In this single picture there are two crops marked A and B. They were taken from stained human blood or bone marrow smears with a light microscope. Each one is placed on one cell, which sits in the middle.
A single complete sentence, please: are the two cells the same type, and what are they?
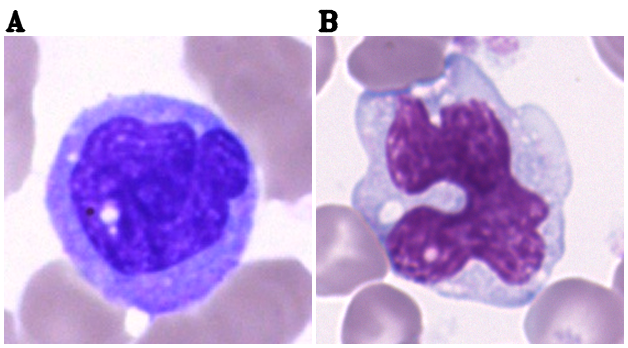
Yes, both crops show monocytes in their central position.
